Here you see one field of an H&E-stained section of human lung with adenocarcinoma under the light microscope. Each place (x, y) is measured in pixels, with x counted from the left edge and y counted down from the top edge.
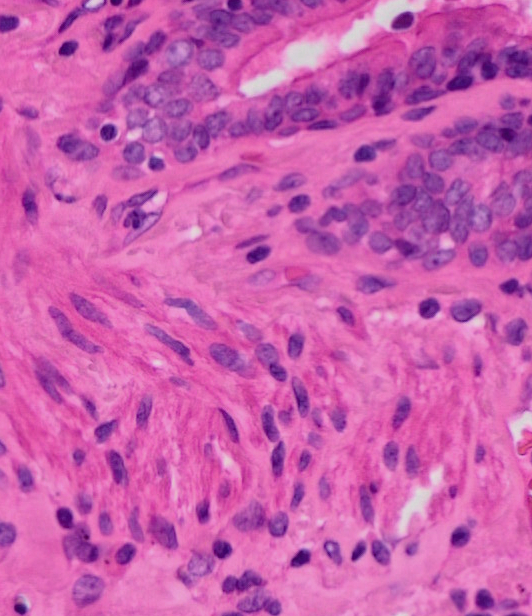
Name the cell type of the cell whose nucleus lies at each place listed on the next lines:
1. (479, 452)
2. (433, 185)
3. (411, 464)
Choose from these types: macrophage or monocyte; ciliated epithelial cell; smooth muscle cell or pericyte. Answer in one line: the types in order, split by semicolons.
smooth muscle cell or pericyte; ciliated epithelial cell; smooth muscle cell or pericyte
